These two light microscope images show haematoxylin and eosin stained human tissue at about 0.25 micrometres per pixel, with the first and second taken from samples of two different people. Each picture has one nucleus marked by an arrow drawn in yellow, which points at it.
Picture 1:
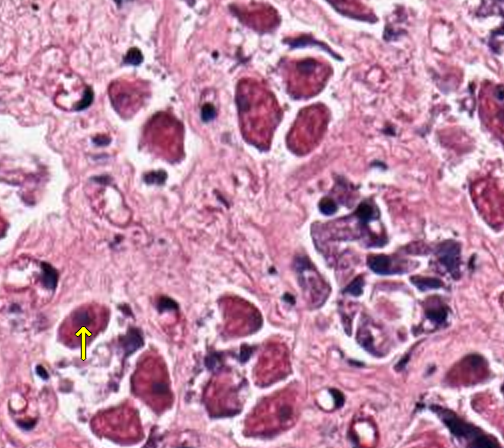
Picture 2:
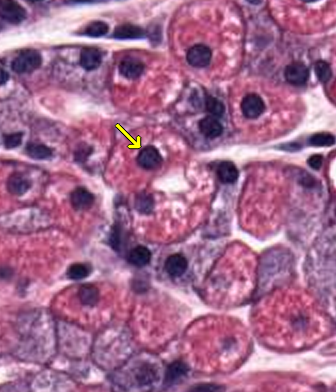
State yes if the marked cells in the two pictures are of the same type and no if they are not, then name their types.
Yes, both are parietal cells.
